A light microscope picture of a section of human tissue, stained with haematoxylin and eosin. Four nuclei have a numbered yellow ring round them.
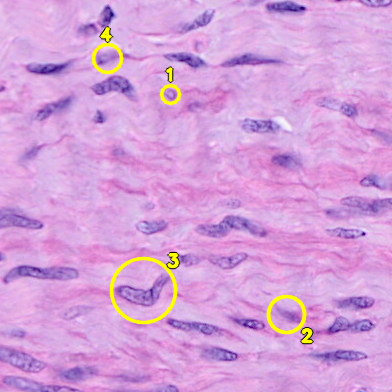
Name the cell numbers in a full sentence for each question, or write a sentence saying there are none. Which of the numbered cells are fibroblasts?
Response: cell 4 is a fibroblast, and no other numbered cell is.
